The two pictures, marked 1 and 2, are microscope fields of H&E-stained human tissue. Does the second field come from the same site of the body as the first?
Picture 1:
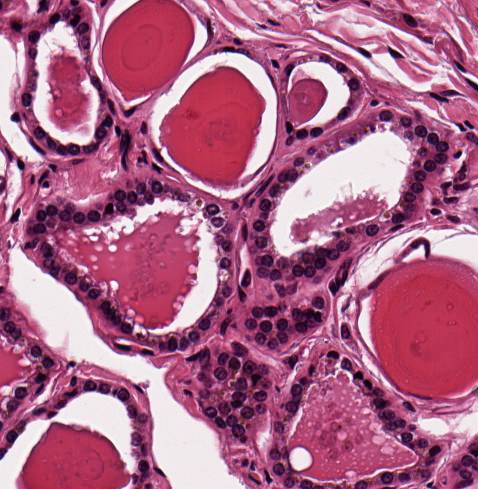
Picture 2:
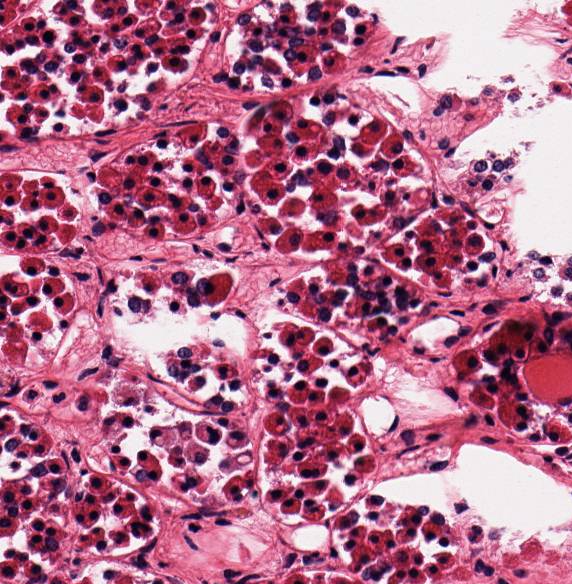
no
